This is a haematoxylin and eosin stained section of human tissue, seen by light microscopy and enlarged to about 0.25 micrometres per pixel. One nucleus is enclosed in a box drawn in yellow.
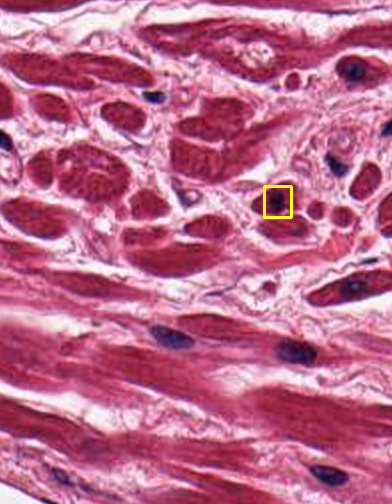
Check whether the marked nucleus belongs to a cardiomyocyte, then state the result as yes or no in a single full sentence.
Yes, the cell whose nucleus is marked is a cardiomyocyte.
